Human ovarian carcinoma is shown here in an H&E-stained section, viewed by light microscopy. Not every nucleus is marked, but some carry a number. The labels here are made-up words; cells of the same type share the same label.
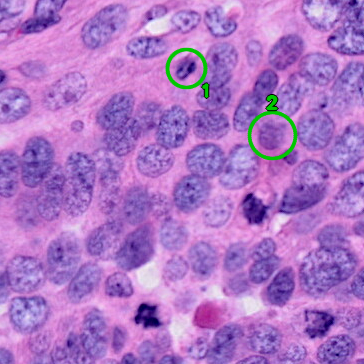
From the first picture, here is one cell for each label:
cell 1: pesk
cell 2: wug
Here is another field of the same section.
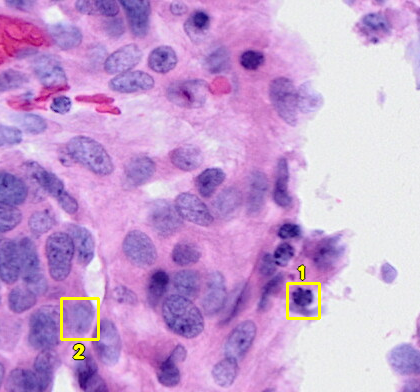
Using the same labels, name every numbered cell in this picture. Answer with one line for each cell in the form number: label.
1: pesk
2: wug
